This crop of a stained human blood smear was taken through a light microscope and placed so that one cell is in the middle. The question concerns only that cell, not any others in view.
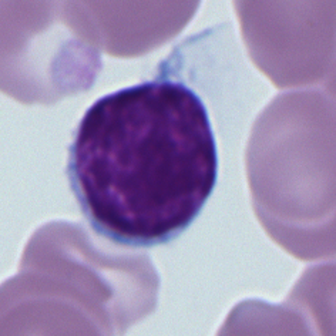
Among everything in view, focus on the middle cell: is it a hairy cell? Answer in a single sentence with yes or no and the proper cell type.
No, the cell in the centre is a typical lymphocyte instead of a hairy cell.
